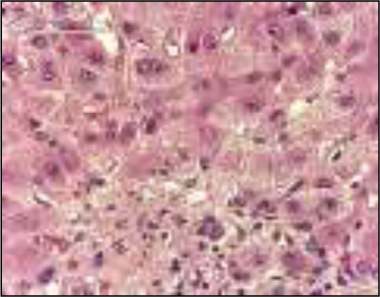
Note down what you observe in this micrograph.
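Compared with the orderly plates of normal liver, the arrangement here is disturbed. Many hepatocytes are enlarged with pale, pink, somewhat cleared or wispy cytoplasm, and their round purple nuclei are spaced unevenly. Between and around them, especially toward the lower part of the field, lie numerous small cells with dark, compact nuclei, crowding the spaces between the hepatocytes. The neat cords and sinusoids seen in healthy liver are hard to follow, giving a patchy, swollen and inflamed appearance.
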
